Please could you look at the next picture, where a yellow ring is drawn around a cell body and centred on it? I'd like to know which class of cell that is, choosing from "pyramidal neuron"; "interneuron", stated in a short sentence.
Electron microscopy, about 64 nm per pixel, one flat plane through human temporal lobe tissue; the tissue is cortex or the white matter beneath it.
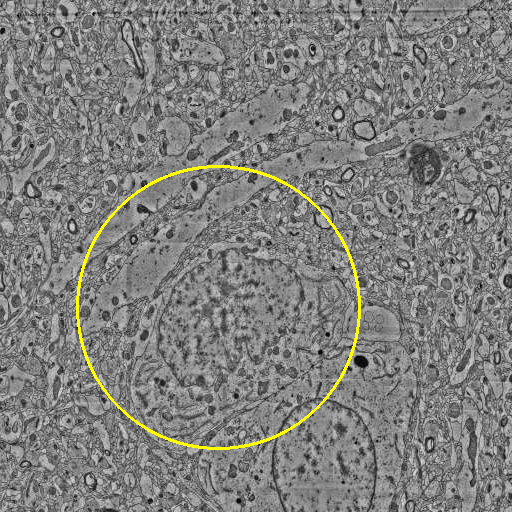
The ring's centre lies on an interneuron.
